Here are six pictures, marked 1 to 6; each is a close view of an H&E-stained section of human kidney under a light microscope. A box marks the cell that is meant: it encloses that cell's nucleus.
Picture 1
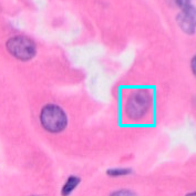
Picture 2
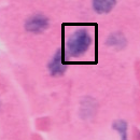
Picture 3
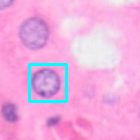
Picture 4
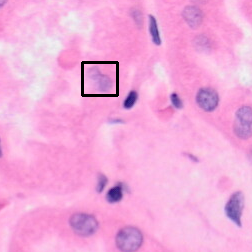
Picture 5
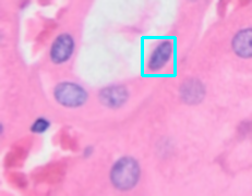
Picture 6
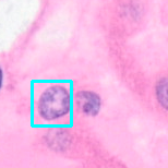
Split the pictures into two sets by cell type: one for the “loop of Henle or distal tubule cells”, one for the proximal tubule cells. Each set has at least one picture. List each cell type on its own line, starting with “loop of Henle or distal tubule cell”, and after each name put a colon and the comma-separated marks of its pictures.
loop of Henle or distal tubule cell: 2, 5
proximal tubule cell: 1, 3, 4, 6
